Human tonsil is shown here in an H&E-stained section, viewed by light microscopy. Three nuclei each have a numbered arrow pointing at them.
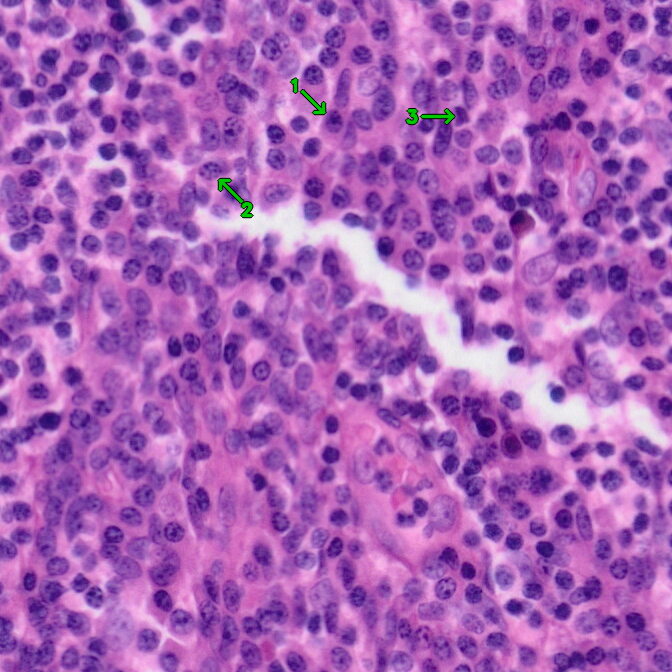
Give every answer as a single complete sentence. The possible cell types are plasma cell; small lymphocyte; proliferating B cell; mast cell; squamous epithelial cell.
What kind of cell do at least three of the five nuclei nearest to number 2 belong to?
Squamous epithelial cells account for more than half of the five nuclei nearest to number 2.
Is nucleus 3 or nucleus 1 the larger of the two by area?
Of the two, number 1 is bigger and takes up about 1.5 times the area of number 3.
